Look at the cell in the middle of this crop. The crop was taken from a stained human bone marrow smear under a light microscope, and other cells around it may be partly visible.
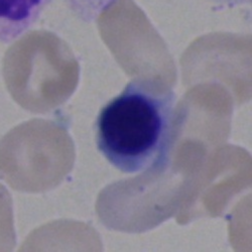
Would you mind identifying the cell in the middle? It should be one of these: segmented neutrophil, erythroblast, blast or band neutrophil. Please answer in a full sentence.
Located at the centre of the crop is an erythroblast.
